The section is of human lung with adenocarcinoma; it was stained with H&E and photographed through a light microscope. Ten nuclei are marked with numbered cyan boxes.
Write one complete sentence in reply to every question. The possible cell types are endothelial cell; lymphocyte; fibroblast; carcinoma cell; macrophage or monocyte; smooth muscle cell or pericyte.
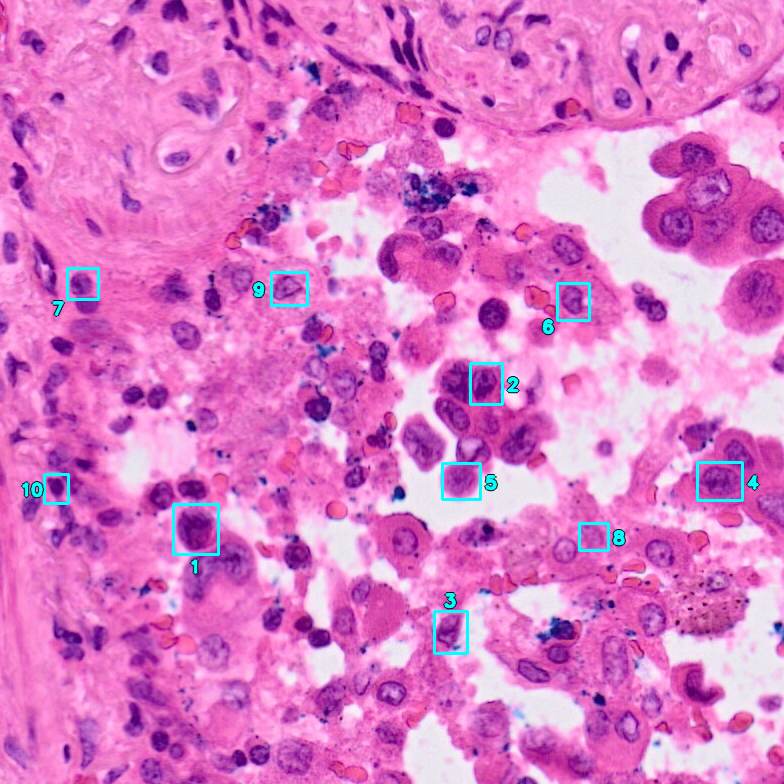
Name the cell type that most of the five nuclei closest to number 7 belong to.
Of the five nuclei nearest to number 7, most belong to endothelial cells.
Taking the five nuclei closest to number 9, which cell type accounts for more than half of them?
The majority of the five nuclei closest to number 9 belong to lymphocytes.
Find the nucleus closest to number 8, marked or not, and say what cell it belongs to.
The nearest nucleus to number 8 belongs to a macrophage or monocyte.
